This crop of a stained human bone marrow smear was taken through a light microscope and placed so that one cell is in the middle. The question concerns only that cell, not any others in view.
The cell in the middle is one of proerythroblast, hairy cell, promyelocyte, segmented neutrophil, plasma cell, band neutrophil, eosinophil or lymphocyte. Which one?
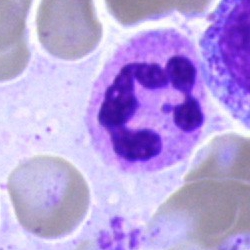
segmented neutrophil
